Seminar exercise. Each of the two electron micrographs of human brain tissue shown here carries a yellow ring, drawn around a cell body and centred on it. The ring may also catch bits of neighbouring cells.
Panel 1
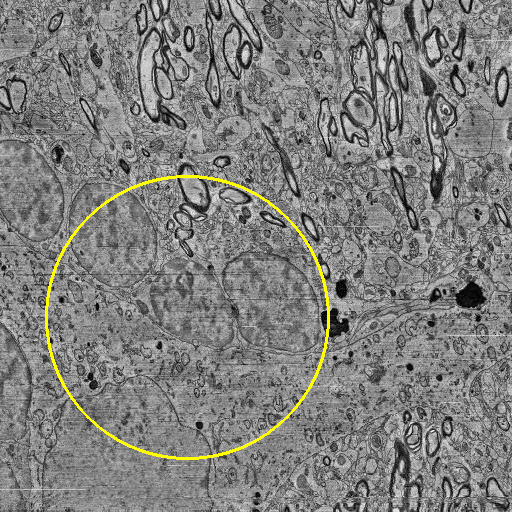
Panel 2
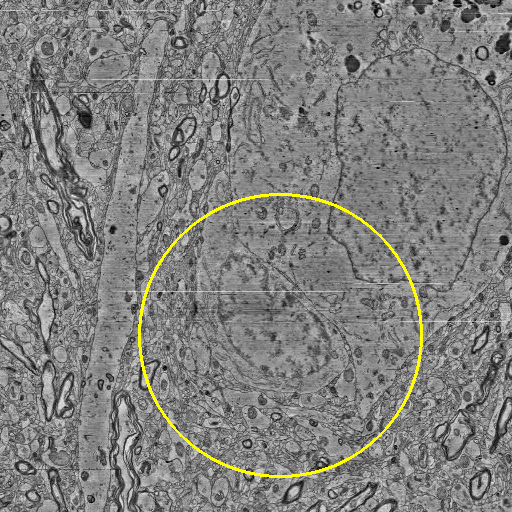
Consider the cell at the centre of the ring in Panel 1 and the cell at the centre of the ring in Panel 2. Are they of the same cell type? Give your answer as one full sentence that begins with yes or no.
No, the two cells are of two types.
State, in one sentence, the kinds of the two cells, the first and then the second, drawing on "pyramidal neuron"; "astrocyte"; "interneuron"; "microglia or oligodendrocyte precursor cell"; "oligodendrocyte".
The ring in the second picture is centred on an interneuron, the ring in the first on an oligodendrocyte.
